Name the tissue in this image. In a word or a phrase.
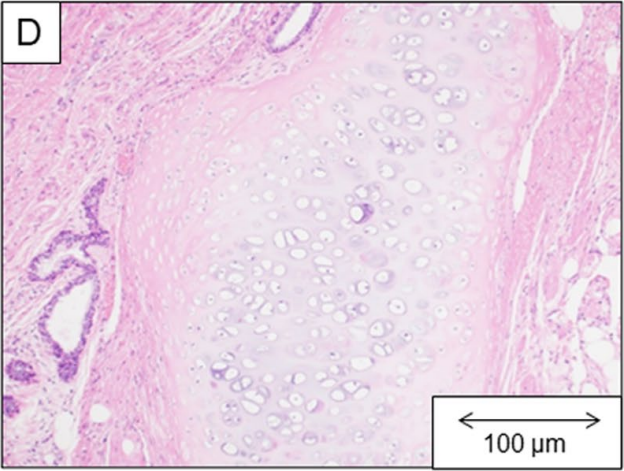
Cartilage.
